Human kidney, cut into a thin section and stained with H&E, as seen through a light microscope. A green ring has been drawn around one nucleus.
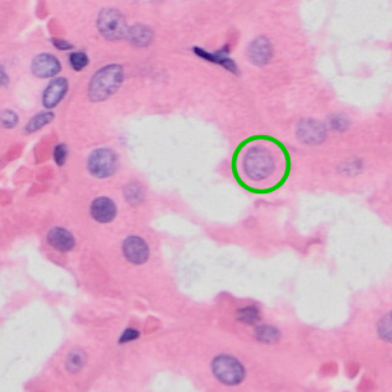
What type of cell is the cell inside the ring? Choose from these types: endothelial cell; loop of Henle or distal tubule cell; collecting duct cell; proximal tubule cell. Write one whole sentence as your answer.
The identity of the cell inside the ring: it is a proximal tubule cell.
